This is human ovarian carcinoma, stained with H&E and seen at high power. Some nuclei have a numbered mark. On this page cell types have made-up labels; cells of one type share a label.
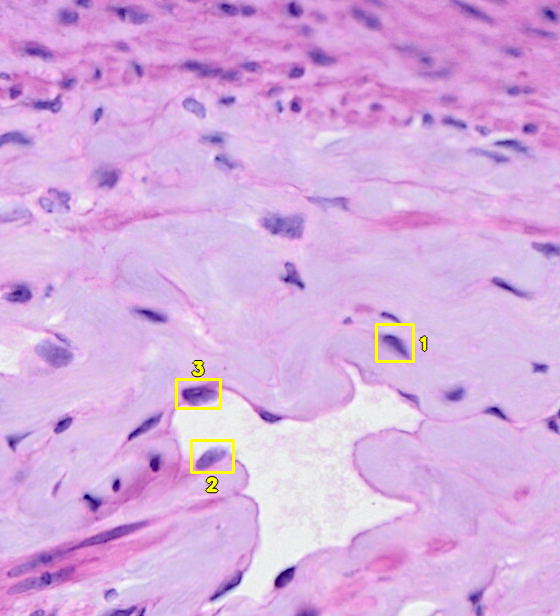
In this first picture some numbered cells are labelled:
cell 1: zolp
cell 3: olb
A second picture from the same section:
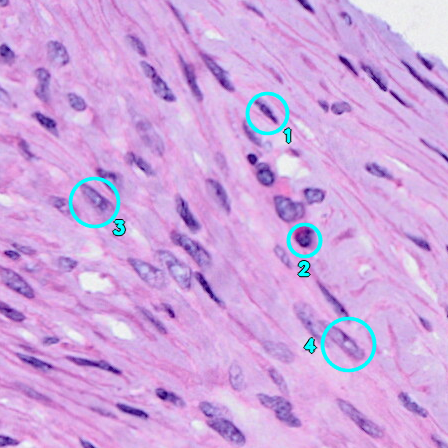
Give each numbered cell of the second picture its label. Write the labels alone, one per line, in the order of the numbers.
zolp
olb
zolp
zolp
